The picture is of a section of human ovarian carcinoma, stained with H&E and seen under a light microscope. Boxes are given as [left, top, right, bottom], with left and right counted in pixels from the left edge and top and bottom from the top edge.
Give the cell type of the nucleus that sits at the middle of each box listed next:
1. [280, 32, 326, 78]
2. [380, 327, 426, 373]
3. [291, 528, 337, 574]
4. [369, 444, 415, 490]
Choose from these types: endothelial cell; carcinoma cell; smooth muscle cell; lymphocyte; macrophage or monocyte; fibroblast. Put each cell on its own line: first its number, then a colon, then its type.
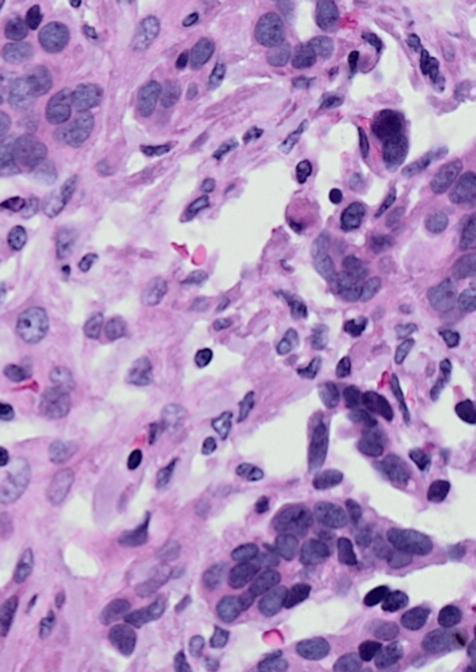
1: carcinoma cell
2: fibroblast
3: carcinoma cell
4: carcinoma cell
